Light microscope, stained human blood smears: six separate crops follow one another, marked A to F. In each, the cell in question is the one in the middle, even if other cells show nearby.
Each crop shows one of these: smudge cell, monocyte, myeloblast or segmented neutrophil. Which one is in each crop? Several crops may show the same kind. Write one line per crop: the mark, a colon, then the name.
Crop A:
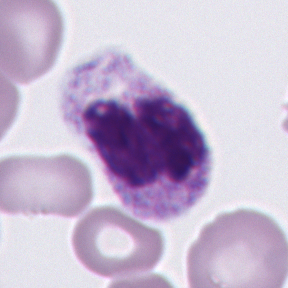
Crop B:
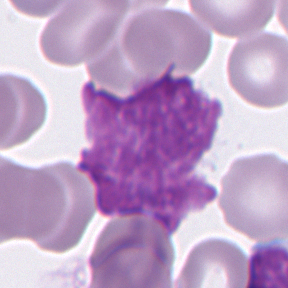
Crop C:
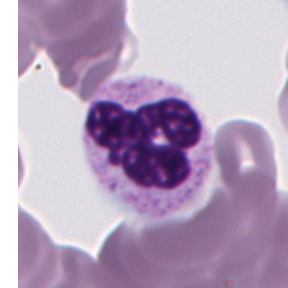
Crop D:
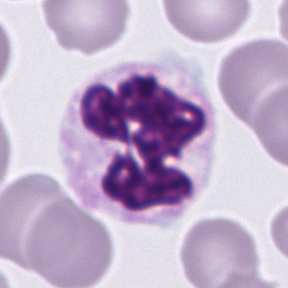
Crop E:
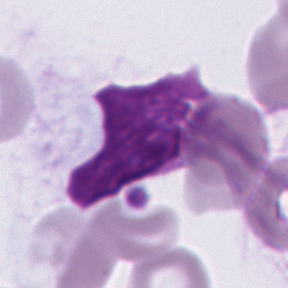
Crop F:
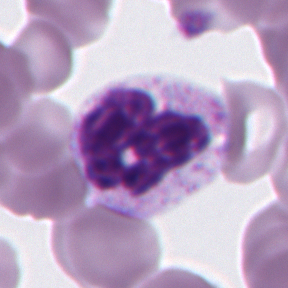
A: segmented neutrophil
B: smudge cell
C: segmented neutrophil
D: segmented neutrophil
E: smudge cell
F: segmented neutrophil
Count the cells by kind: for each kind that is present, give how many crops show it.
segmented neutrophil: 4
smudge cell: 2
